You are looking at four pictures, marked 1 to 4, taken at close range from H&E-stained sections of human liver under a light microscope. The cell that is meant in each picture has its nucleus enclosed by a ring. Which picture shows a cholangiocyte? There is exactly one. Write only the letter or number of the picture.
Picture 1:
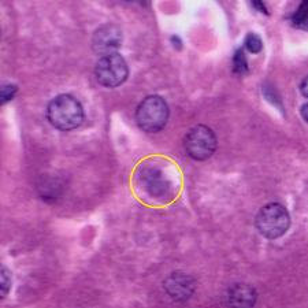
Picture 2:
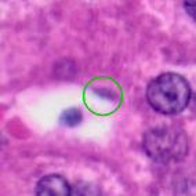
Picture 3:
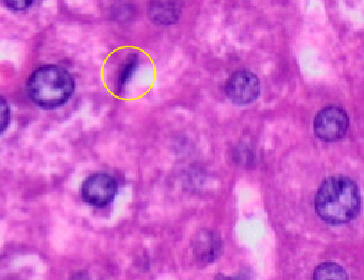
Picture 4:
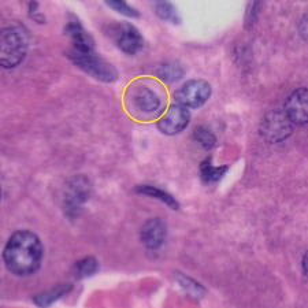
4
